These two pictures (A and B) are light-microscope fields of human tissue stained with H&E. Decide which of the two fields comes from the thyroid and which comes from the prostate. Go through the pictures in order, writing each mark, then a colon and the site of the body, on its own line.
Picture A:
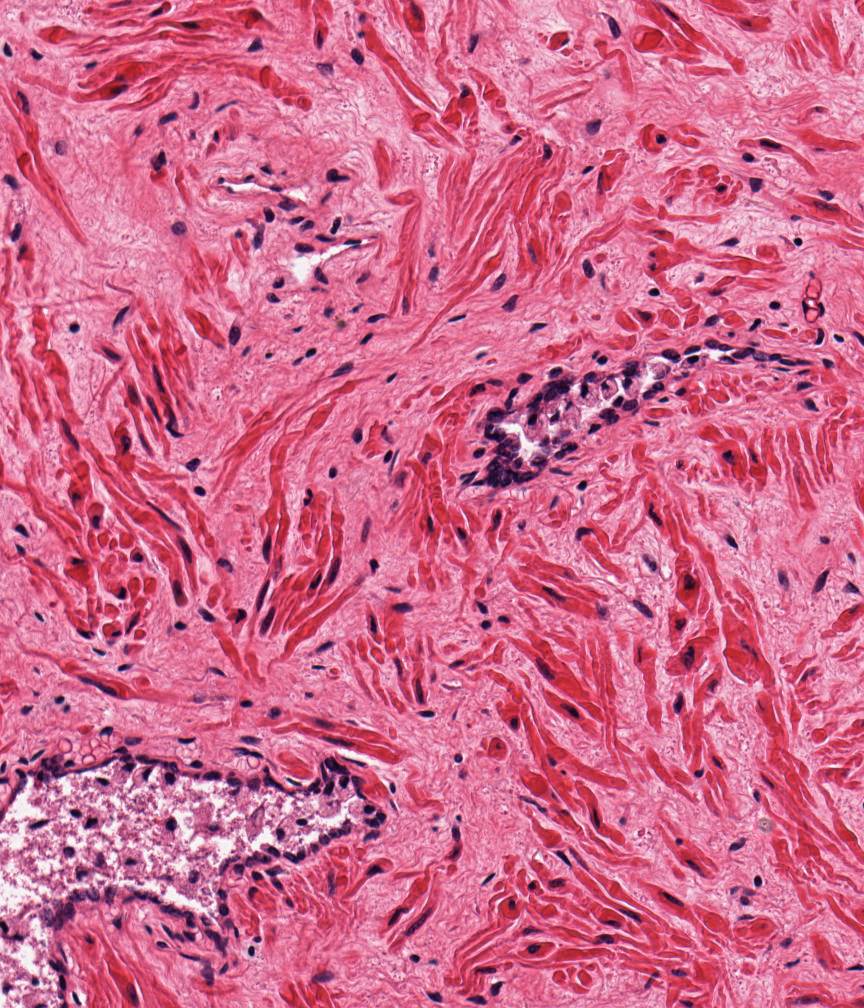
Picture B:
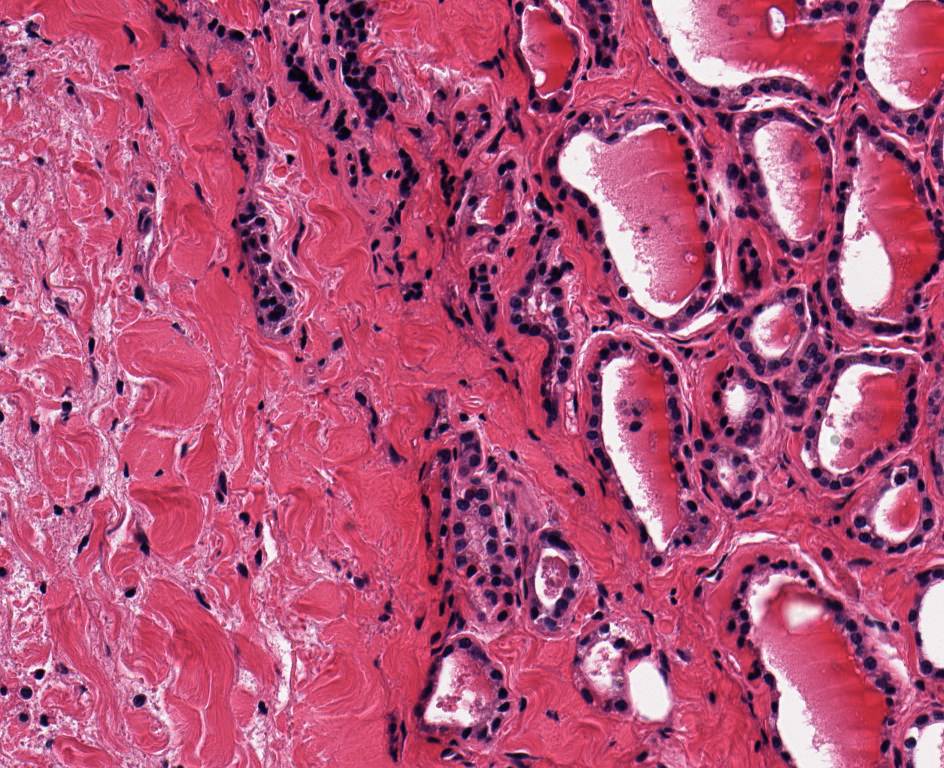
A: prostate
B: thyroid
